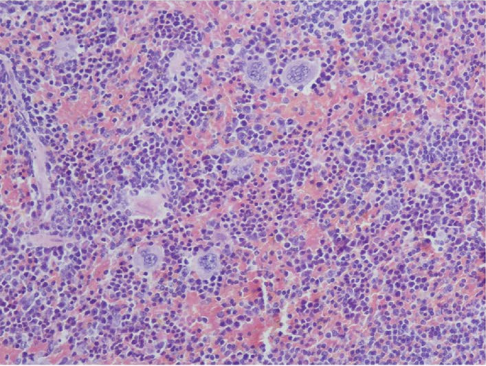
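The field is crowded with small round cells with dark purple nuclei, with patches of pink red blood cells lying between them. Scattered among them are a few very large cells with abundant pale pink cytoplasm and big lobulated nuclei. These giant cells are megakaryocytes, and together with the dense mix of small blood-forming cells they indicate extramedullary hematopoiesis in the spleen. A few thin pink strands of connective tissue cross the field. The overall picture is of splenic pulp packed with cells and blood.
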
